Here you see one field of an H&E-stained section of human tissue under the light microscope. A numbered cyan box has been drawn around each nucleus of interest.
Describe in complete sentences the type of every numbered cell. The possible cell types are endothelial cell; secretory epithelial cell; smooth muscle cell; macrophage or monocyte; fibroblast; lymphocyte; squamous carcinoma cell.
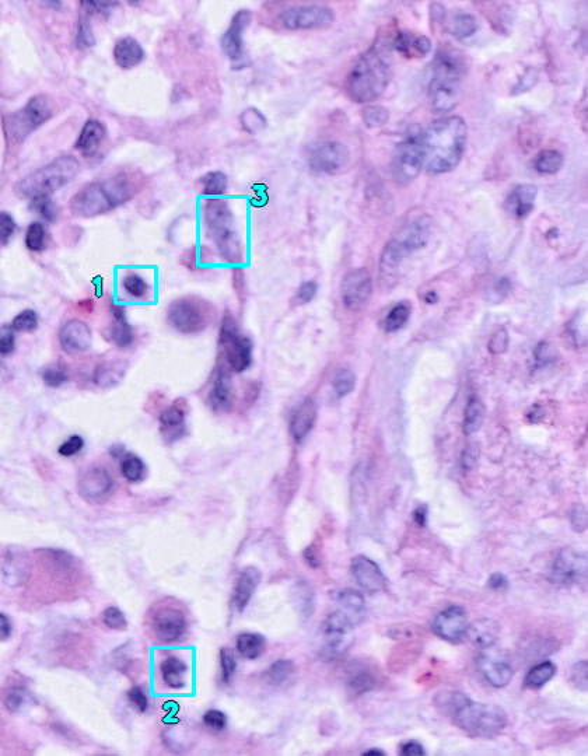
Cell 1 is a lymphocyte, cell 2 is a lymphocyte and cell 3 is a fibroblast.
